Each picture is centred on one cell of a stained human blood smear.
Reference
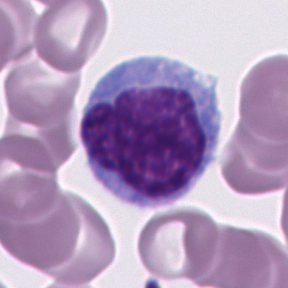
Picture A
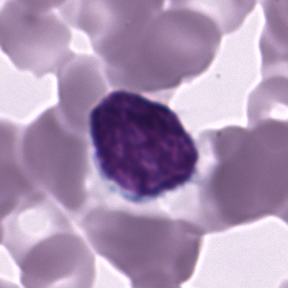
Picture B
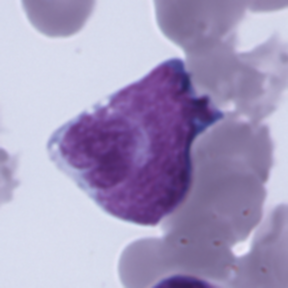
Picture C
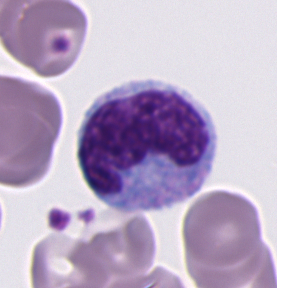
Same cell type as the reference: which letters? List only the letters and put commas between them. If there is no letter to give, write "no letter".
C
